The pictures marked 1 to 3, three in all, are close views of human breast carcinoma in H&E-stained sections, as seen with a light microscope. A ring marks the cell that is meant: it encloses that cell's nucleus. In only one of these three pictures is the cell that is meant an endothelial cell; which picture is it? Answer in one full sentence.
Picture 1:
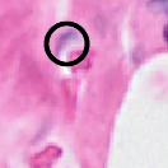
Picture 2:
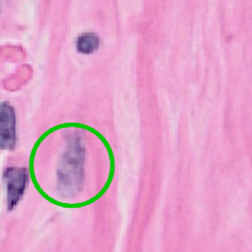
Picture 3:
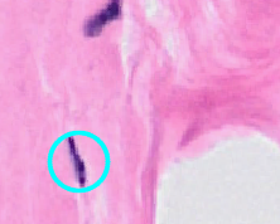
The picture with the endothelial cell is 1.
